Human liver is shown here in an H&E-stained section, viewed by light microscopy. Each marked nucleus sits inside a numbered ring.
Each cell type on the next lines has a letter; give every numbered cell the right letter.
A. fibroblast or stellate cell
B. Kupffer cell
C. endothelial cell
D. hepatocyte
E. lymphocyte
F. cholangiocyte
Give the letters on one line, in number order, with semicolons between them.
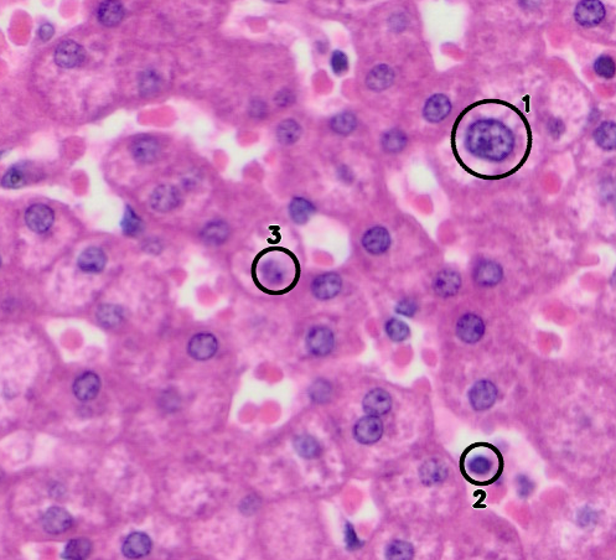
D; E; D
